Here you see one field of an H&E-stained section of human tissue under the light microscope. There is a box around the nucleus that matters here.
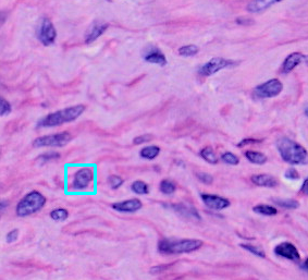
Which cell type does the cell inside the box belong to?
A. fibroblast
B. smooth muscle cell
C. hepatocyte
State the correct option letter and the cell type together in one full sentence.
That the cell inside the box is a smooth muscle cell makes option B the correct choice.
